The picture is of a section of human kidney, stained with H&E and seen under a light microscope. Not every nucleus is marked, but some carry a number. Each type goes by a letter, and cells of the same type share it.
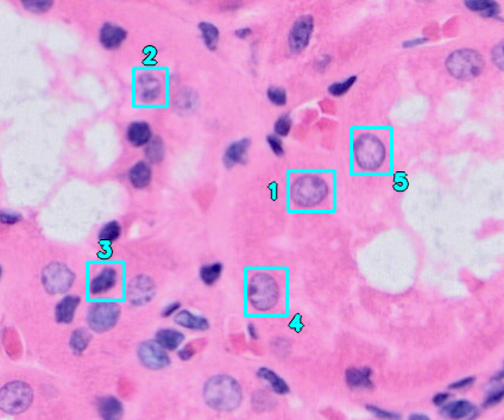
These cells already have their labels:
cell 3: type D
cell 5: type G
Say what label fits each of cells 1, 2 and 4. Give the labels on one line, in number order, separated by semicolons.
type G; type D; type G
